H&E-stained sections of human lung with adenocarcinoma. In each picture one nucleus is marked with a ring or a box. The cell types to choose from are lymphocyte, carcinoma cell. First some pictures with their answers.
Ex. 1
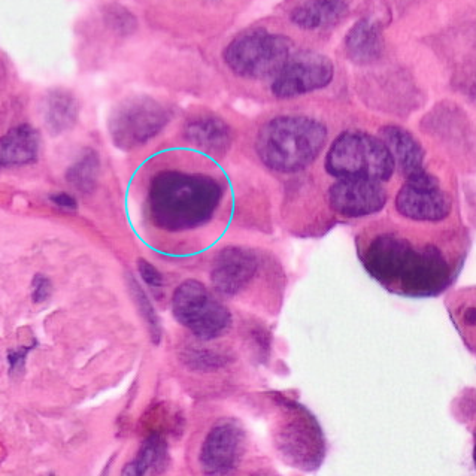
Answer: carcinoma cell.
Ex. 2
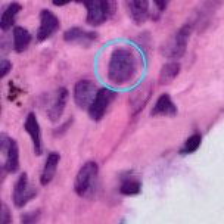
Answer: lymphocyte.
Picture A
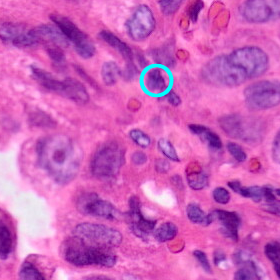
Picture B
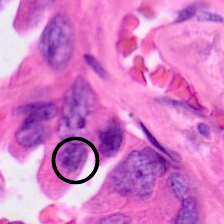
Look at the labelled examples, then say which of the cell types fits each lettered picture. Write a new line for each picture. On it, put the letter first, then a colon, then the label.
A: lymphocyte.
B: carcinoma cell.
